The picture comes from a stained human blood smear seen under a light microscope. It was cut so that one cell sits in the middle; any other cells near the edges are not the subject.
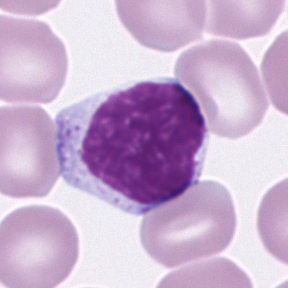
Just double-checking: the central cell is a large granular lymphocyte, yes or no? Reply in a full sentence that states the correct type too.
Yes, the middle cell of the field is a large granular lymphocyte.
